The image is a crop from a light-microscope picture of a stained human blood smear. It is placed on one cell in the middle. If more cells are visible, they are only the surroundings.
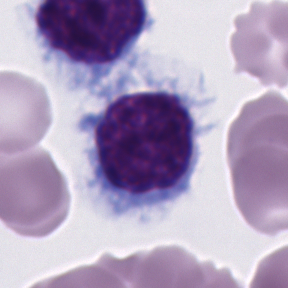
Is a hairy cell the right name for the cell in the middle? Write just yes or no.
yes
